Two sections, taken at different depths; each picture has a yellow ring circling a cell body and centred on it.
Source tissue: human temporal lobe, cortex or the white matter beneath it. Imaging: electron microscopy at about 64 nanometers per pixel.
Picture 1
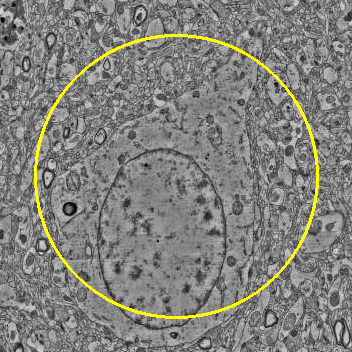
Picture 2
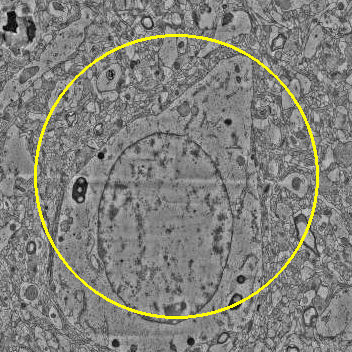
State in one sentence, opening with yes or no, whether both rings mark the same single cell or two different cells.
Yes, the same cell has been marked in both yellow rings.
